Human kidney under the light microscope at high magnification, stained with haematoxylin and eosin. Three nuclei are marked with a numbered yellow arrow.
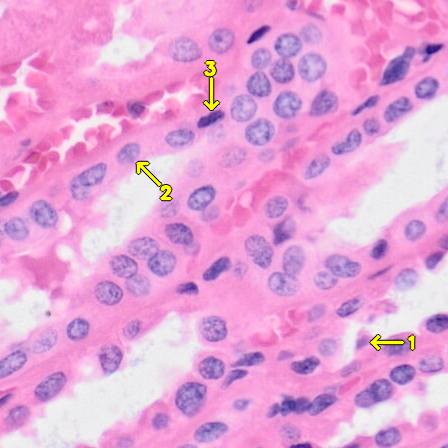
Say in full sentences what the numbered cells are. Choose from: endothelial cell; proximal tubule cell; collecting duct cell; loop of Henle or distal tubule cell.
Cell 1 is a loop of Henle or distal tubule cell, cell 2 is a collecting duct cell and cell 3 is a collecting duct cell.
